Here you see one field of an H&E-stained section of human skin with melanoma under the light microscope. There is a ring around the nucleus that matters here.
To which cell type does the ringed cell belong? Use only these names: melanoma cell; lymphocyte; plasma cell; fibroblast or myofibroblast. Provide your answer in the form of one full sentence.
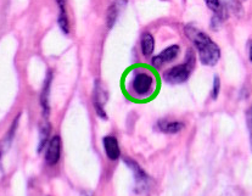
It is as a plasma cell that the ringed cell is classified.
